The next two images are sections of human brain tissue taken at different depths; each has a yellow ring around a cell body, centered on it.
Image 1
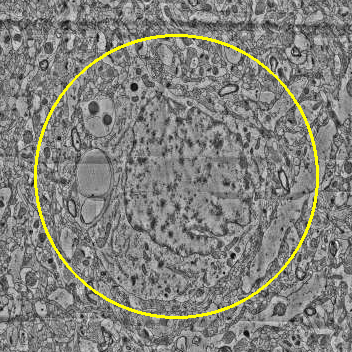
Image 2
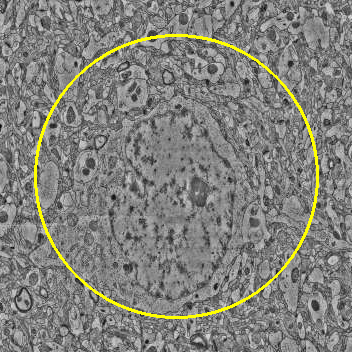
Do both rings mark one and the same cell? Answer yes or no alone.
no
